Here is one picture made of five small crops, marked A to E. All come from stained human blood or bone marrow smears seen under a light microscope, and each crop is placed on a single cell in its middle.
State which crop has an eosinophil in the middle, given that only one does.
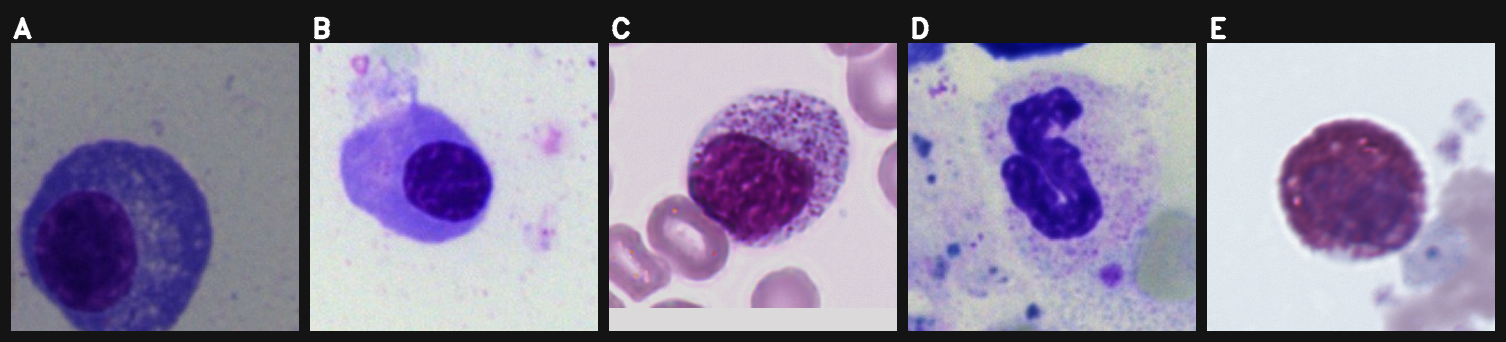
E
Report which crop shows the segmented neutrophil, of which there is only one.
D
